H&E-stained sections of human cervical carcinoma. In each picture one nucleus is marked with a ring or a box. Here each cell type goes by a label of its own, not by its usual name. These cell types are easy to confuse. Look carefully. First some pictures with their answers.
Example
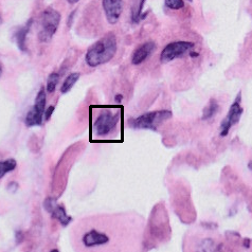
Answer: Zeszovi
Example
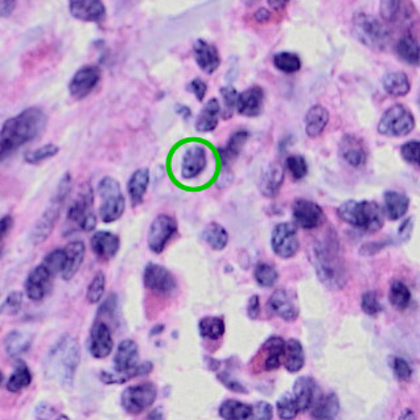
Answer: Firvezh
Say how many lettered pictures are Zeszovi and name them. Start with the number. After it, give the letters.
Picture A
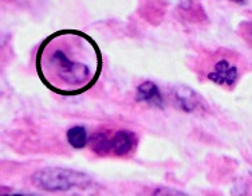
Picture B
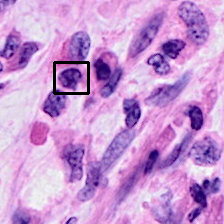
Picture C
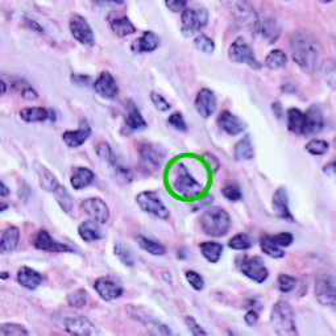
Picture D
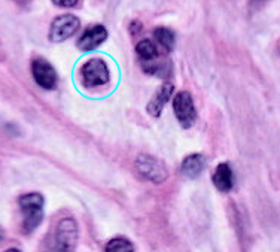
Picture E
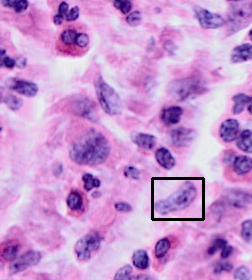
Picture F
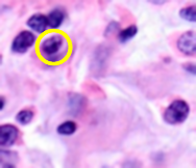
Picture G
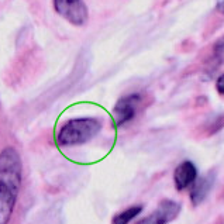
3, namely A, E, G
